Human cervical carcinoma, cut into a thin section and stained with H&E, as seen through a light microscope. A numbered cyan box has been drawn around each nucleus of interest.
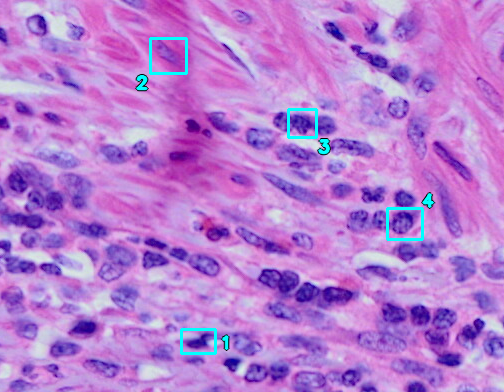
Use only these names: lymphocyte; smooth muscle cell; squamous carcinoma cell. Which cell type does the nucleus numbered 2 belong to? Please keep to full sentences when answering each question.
The nucleus marked 2 is the nucleus of a smooth muscle cell.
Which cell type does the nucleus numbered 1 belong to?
Within this field of view, the cell labelled 1 is a lymphocyte.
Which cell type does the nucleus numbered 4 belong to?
The cell that is numbered 4 is a lymphocyte.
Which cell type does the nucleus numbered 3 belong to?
The nucleus labeled 3 belongs to a lymphocyte.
